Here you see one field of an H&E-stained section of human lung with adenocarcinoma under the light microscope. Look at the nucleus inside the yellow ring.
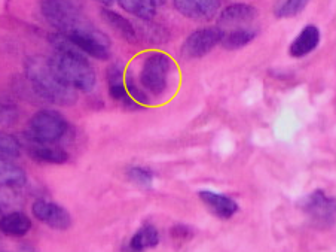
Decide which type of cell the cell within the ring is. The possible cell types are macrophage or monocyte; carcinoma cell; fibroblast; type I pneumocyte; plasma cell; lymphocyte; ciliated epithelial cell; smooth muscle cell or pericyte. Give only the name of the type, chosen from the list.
ciliated epithelial cell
